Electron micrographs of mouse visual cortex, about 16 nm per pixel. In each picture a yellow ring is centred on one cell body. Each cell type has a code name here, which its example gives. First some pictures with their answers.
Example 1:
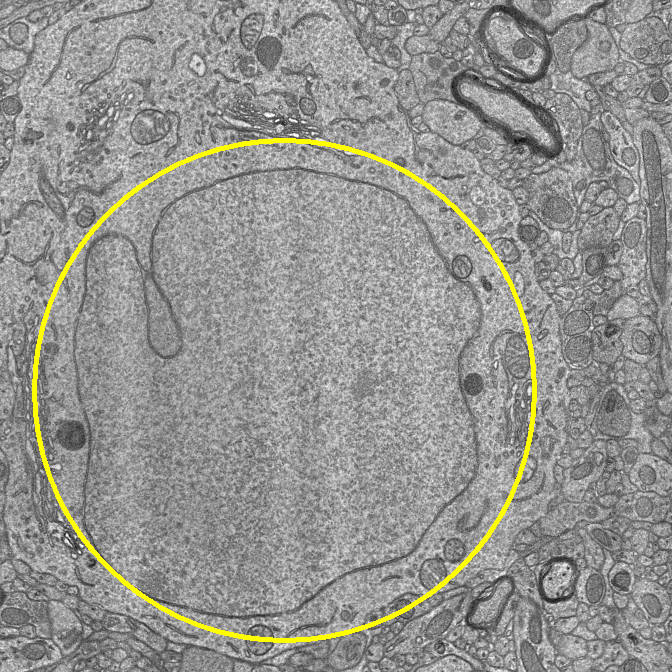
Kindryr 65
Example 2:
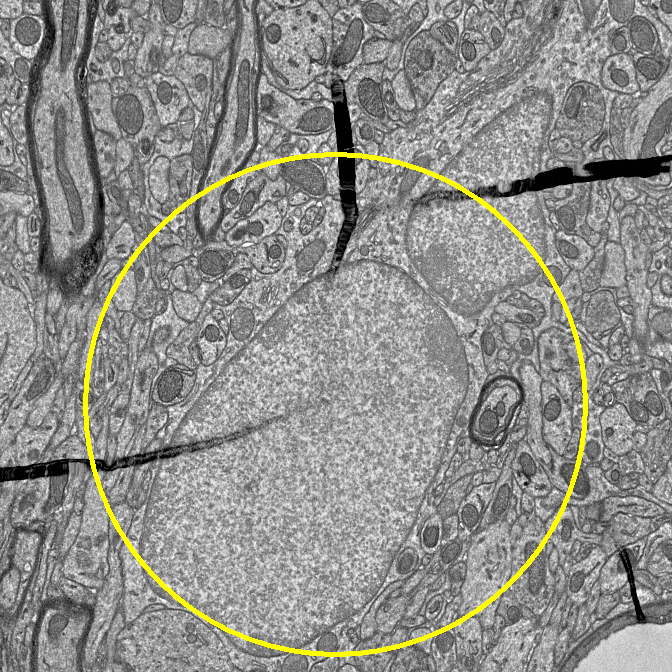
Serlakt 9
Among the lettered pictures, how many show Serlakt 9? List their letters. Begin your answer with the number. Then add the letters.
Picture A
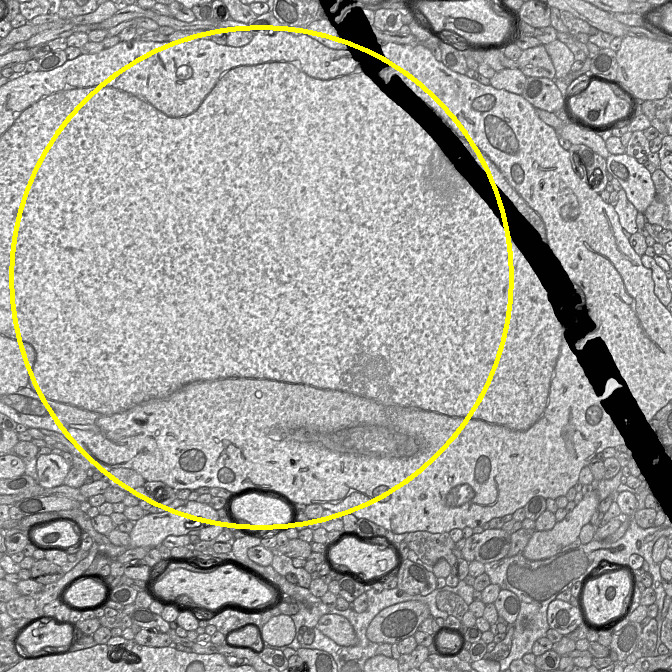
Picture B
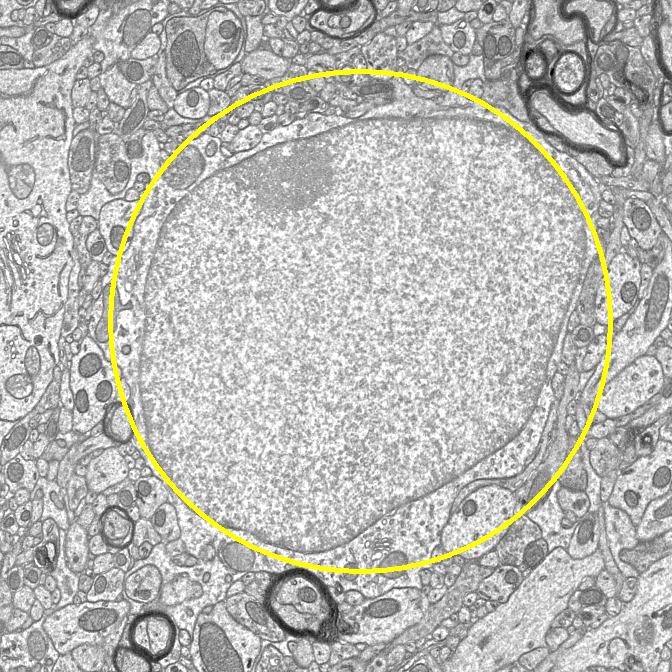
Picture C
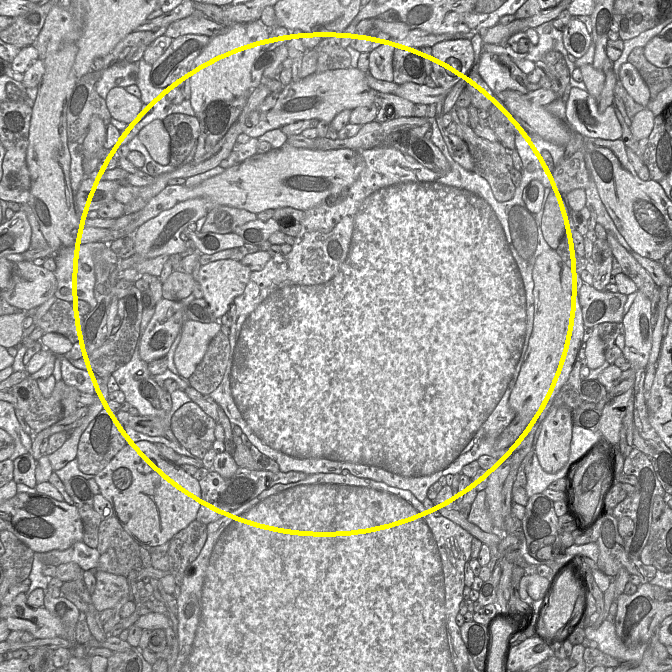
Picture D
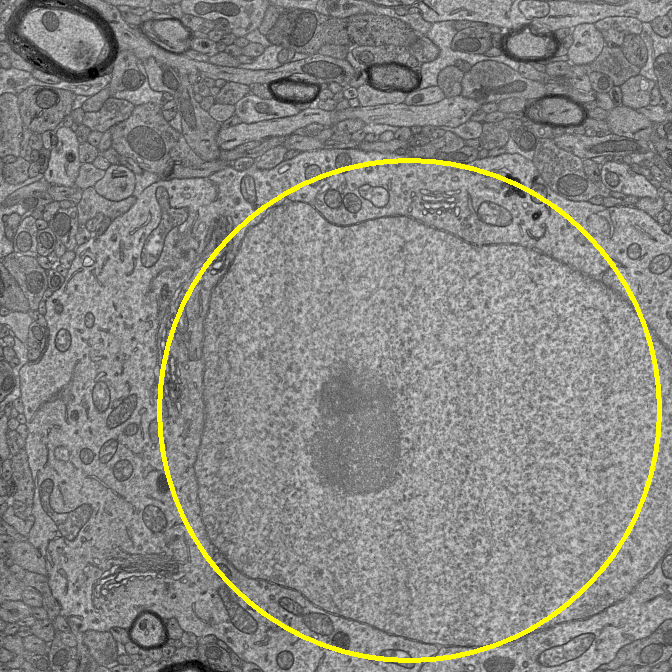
2, namely B, C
